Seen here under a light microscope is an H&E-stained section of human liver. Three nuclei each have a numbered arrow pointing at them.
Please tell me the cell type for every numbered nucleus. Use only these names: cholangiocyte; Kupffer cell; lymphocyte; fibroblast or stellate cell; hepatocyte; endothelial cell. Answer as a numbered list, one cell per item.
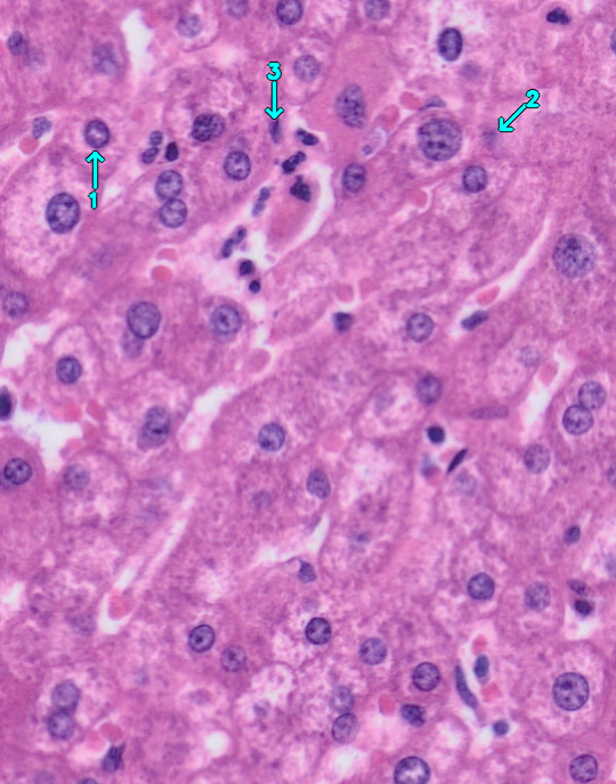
1. hepatocyte
2. Kupffer cell
3. fibroblast or stellate cell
